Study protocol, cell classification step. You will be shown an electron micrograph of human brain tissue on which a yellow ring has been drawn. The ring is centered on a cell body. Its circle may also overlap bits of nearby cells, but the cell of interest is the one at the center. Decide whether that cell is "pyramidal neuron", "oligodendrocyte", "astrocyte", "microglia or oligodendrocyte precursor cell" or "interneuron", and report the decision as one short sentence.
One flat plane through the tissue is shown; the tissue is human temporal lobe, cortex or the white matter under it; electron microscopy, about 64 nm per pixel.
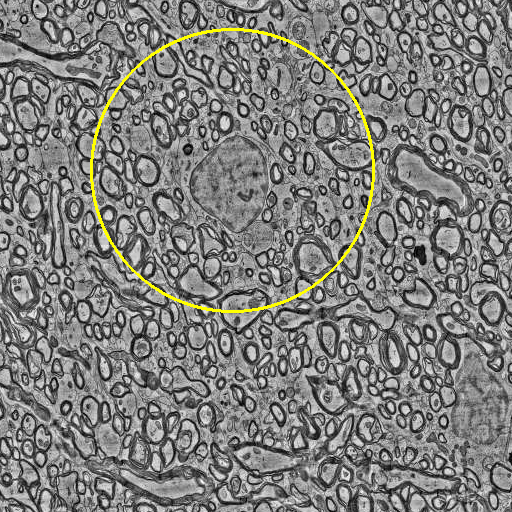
The marked cell is a microglial cell or oligodendrocyte precursor cell.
